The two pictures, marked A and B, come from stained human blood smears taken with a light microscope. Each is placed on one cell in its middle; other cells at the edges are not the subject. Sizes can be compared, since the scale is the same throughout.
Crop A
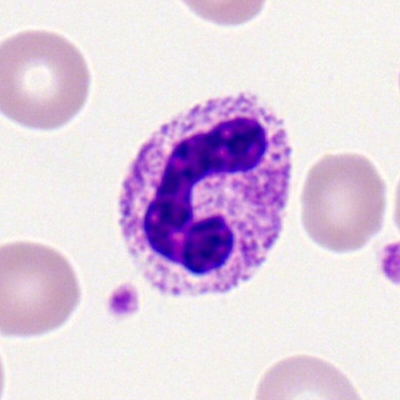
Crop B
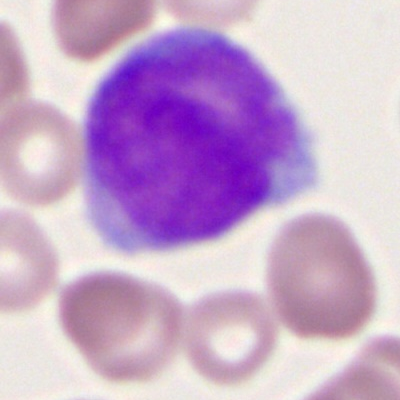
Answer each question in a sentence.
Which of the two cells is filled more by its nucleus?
It is the cell in crop B that is filled more by its nucleus.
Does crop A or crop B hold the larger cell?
Crop B holds the larger cell; it covers about 1.5 times the area of the cell in crop A.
